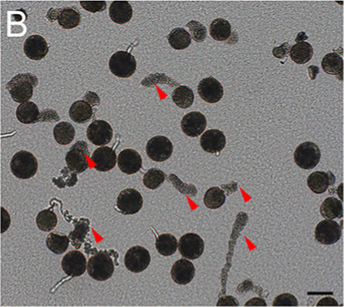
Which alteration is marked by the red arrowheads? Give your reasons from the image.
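Ruptured pollen tubes. The red arrowheads point at irregular, granular, clumped material next to round grains. This material lacks the smooth, clear wall of an intact tube.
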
